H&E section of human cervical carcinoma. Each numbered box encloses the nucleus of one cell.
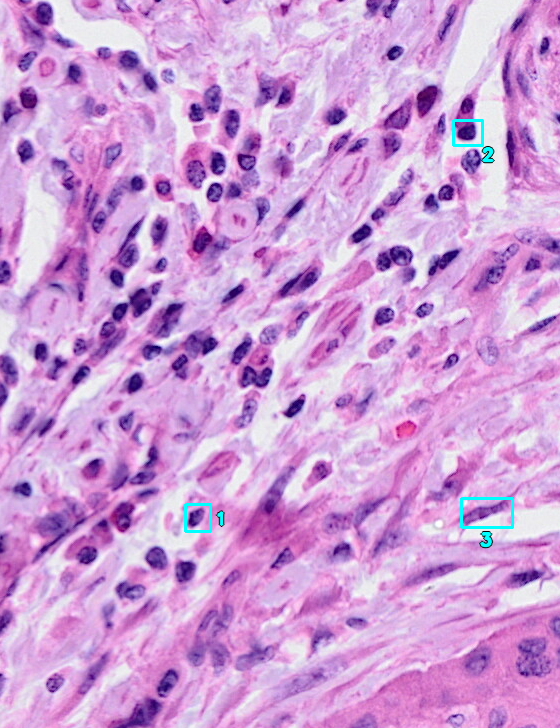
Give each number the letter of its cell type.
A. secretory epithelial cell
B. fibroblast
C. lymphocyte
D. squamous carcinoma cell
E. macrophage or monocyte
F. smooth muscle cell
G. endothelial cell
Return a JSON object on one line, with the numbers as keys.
{"1": "C", "2": "C", "3": "B"}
